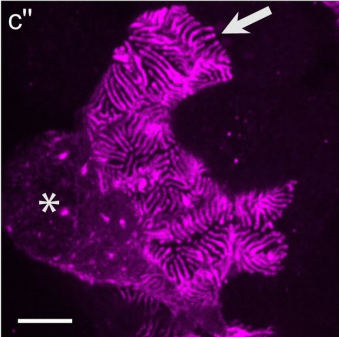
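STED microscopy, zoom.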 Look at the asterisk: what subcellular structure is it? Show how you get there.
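The asterisk lies on a smooth, rounded, faintly stained region. This region lacks the striped pattern covering the adjacent surface. That points to this answer: podocyte cell bodies.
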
